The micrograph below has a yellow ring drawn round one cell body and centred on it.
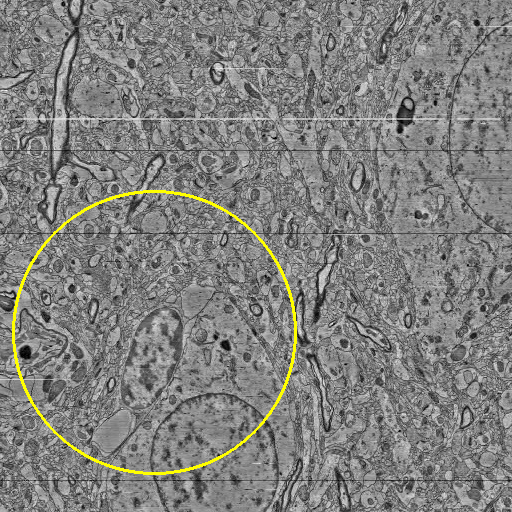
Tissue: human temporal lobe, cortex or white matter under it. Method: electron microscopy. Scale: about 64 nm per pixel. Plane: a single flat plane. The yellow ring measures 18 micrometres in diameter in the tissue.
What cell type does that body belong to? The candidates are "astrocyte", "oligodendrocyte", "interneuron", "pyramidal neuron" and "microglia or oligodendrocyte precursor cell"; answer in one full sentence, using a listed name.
This is a microglial cell or oligodendrocyte precursor cell, the cell whose body lies at the centre of the ring.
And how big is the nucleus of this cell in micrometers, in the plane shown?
In this plane the nucleus measures roughly 6 by 3 micrometers.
